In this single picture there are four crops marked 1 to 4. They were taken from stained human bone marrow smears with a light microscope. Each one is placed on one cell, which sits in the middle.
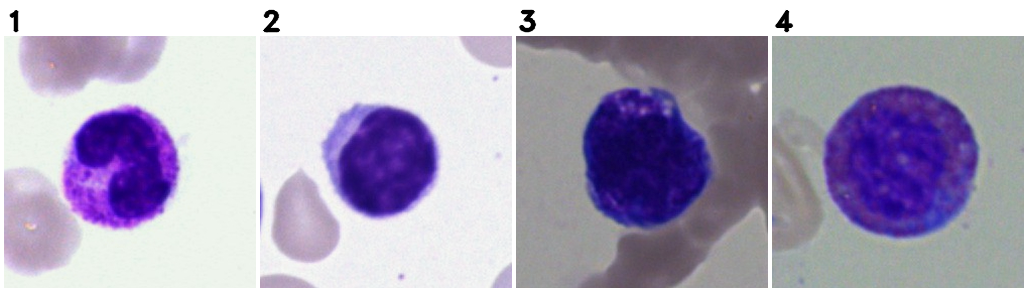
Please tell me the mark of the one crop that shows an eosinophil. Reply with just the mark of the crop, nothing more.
4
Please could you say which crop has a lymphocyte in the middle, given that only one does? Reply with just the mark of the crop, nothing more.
2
